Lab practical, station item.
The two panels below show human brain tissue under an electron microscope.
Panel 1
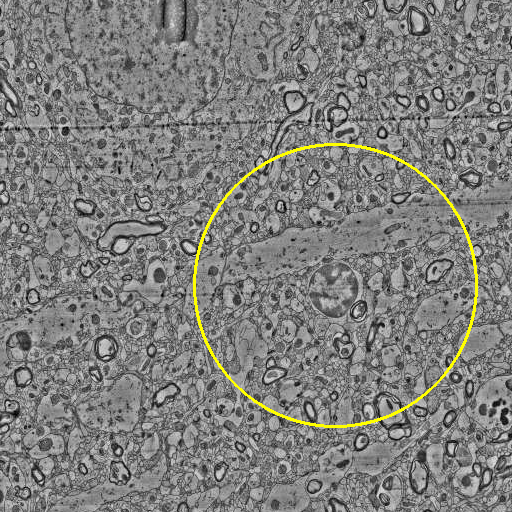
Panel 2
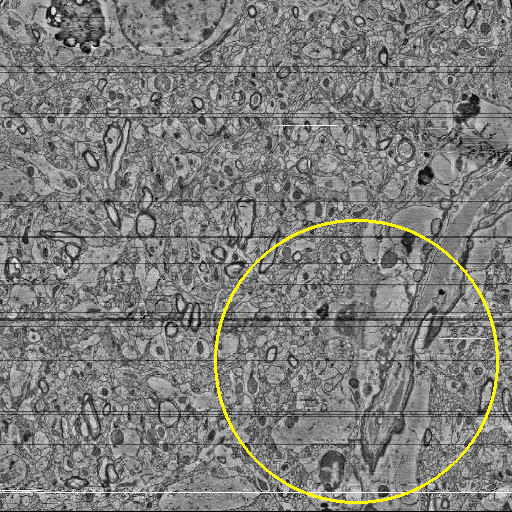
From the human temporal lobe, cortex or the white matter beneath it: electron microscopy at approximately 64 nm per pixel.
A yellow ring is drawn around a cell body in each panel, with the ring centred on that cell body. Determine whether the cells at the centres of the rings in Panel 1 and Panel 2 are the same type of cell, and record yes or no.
no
